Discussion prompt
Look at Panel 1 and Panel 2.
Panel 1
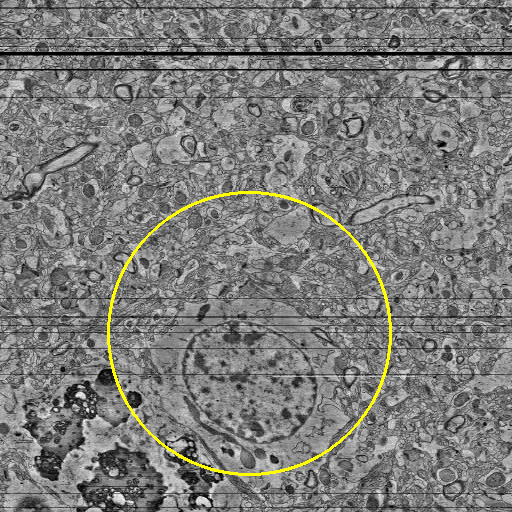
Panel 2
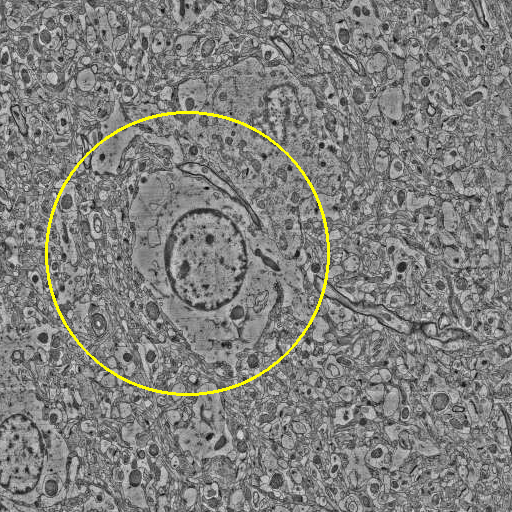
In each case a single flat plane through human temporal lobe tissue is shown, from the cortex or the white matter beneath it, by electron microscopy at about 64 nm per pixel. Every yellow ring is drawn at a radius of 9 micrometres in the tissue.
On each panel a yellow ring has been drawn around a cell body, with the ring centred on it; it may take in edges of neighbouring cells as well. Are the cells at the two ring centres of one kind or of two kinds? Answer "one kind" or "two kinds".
one kind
